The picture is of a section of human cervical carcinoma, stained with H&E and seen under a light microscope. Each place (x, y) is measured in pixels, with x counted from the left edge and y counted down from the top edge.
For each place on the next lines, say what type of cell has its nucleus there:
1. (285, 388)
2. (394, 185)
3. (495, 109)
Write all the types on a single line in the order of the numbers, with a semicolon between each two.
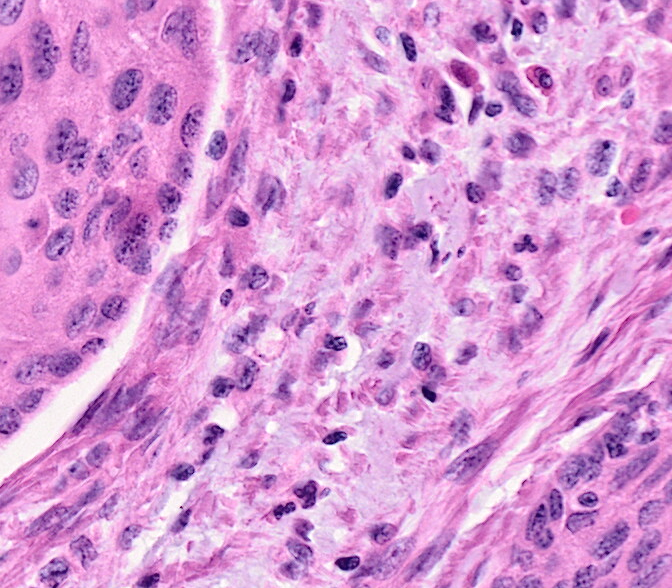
fibroblast; lymphocyte; lymphocyte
